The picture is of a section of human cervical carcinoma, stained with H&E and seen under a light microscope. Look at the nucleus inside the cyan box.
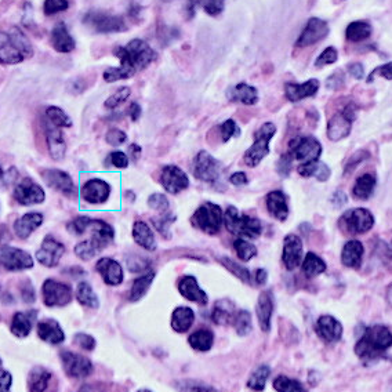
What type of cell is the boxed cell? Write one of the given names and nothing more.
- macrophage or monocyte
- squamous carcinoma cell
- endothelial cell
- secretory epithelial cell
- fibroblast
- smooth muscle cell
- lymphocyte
lymphocyte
